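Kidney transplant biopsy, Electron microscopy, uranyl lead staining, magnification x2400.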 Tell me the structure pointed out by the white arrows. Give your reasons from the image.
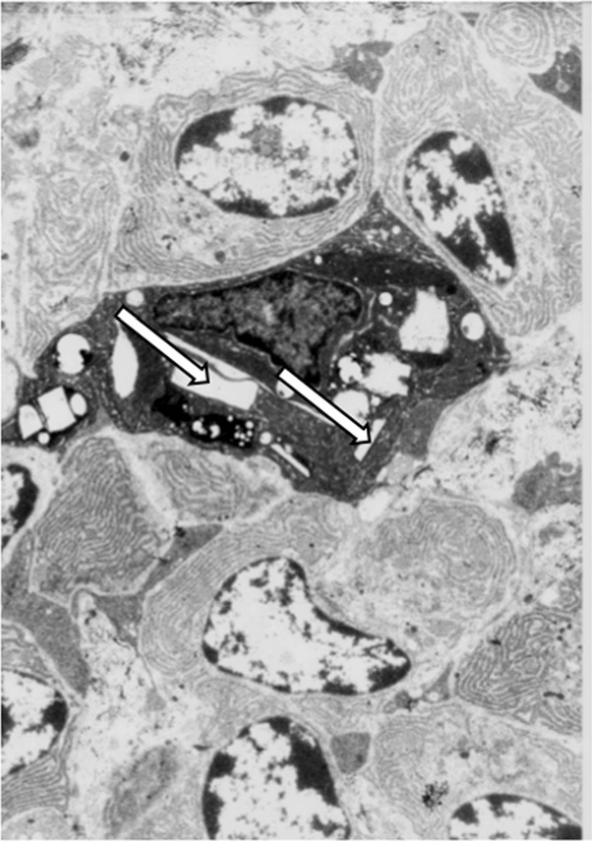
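Cystine crystals. Angular, straight-edged electron-lucent clefts lie inside a dark cell. Several polygonal empty spaces are present in the same cell's cytoplasm.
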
